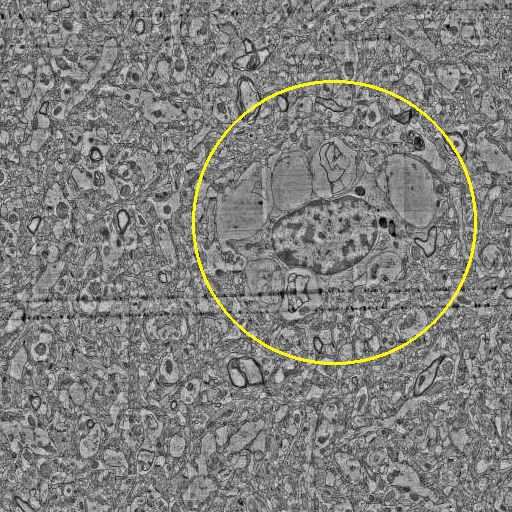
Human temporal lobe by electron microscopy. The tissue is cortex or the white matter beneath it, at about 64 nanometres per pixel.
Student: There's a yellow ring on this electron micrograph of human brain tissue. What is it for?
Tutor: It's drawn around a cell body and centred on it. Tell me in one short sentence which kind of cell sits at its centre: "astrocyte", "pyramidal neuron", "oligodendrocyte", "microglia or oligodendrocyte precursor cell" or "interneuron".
The cell at the centre of the ring is a microglial cell or oligodendrocyte precursor cell.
